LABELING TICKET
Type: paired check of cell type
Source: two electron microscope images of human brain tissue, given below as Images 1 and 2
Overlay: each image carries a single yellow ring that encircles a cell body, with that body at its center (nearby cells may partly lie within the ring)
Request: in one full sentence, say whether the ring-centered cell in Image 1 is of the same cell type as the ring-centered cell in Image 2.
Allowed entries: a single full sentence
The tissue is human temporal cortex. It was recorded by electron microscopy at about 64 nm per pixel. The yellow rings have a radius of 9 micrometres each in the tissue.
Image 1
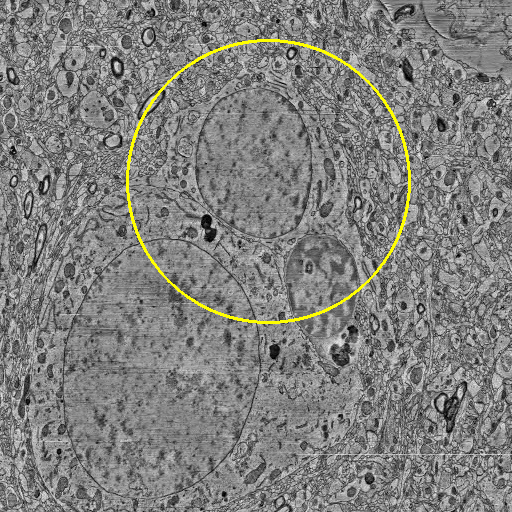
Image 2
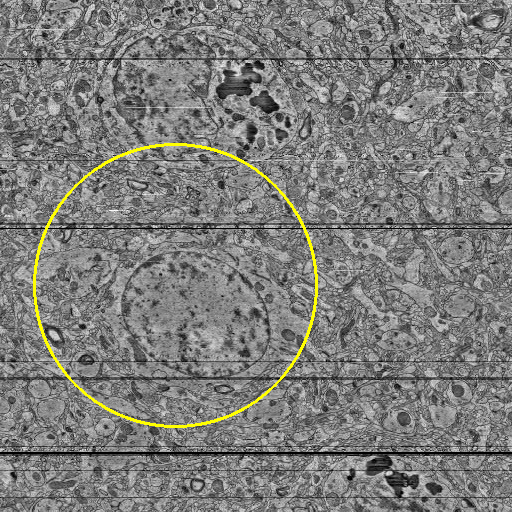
Yes, the cells centered in the rings of Image 1 and Image 2 share one type.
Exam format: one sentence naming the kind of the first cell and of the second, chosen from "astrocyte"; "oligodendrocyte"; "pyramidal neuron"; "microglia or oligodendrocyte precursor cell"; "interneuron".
Each cell at the centre of a ring is an astrocyte.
